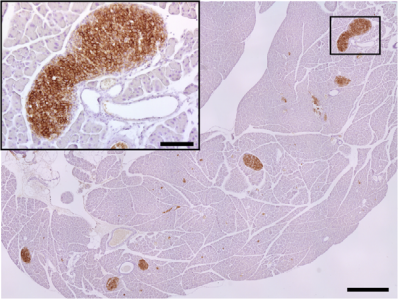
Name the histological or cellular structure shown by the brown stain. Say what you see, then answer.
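Several rounded, well-delimited brown clusters lie scattered in the section. The inset shows a large brown cell cluster beside small ducts or vessels. The surrounding tissue is pale purple glandular tissue.
Islets of Langerhans.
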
